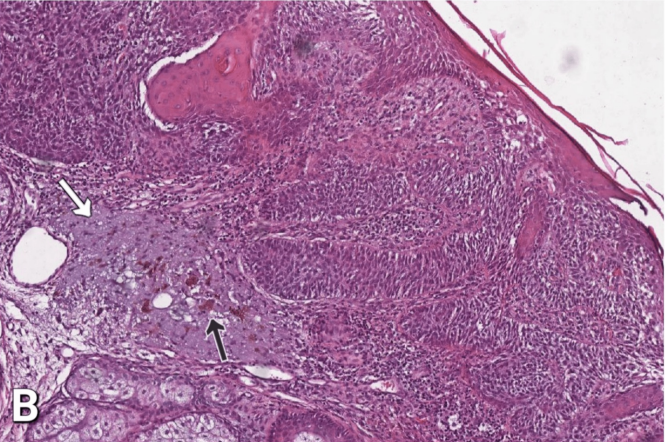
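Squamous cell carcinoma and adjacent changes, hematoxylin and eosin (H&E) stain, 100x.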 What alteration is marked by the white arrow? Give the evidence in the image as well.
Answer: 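The dermis at the arrow holds pale blue-gray, amorphous material. This material replaces the usual pink collagen. On this evidence: solar elastosis.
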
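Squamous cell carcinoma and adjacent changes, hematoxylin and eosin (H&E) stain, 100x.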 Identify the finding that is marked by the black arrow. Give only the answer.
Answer: Pigment incontinence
